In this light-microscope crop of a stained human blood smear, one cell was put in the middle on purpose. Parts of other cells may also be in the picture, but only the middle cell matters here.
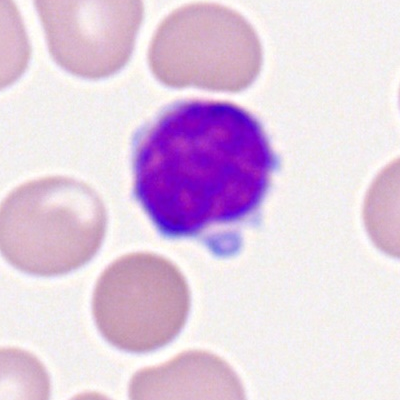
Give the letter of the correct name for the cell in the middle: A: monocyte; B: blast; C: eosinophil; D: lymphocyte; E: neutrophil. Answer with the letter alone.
D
